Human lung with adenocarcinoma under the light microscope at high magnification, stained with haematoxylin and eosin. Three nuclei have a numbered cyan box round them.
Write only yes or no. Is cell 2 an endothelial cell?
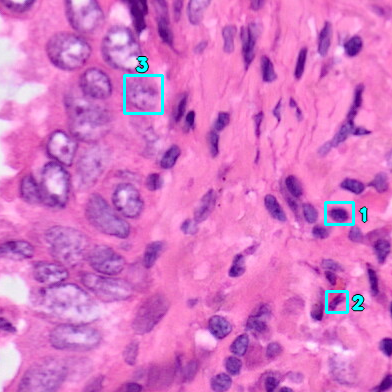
yes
